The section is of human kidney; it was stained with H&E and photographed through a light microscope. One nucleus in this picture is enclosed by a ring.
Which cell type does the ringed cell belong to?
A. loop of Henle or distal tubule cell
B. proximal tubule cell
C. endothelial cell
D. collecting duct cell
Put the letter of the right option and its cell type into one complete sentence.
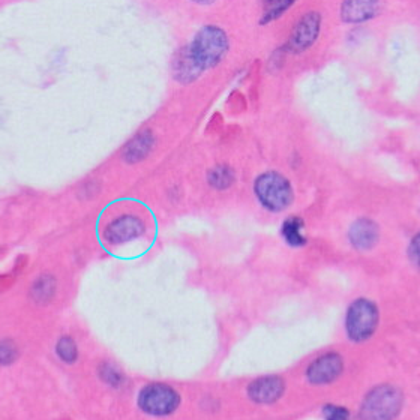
Option A is accurate, for the ringed cell is a loop of Henle or distal tubule cell.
